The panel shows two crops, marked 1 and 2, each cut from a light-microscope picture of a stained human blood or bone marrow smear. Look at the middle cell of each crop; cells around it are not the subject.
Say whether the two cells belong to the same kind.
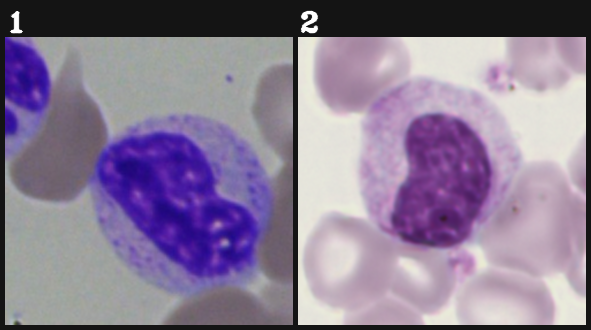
yes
